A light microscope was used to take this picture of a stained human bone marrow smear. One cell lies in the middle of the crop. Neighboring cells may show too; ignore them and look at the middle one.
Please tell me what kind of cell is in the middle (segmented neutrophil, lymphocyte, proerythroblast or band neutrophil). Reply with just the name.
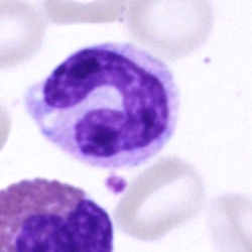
band neutrophil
